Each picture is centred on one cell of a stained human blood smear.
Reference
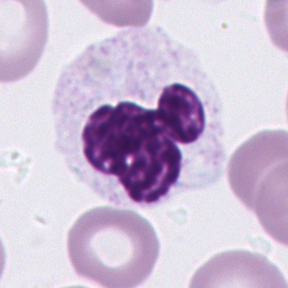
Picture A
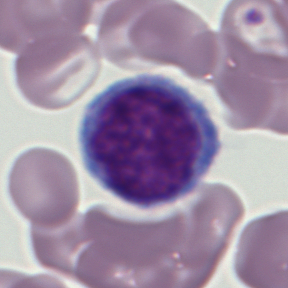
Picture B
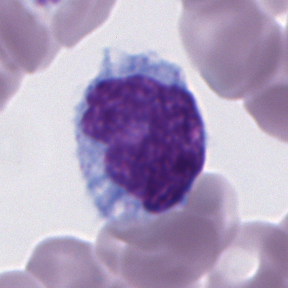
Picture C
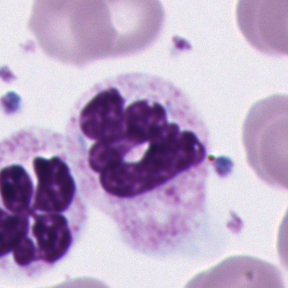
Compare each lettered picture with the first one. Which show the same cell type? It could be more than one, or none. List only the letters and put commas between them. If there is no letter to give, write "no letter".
C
